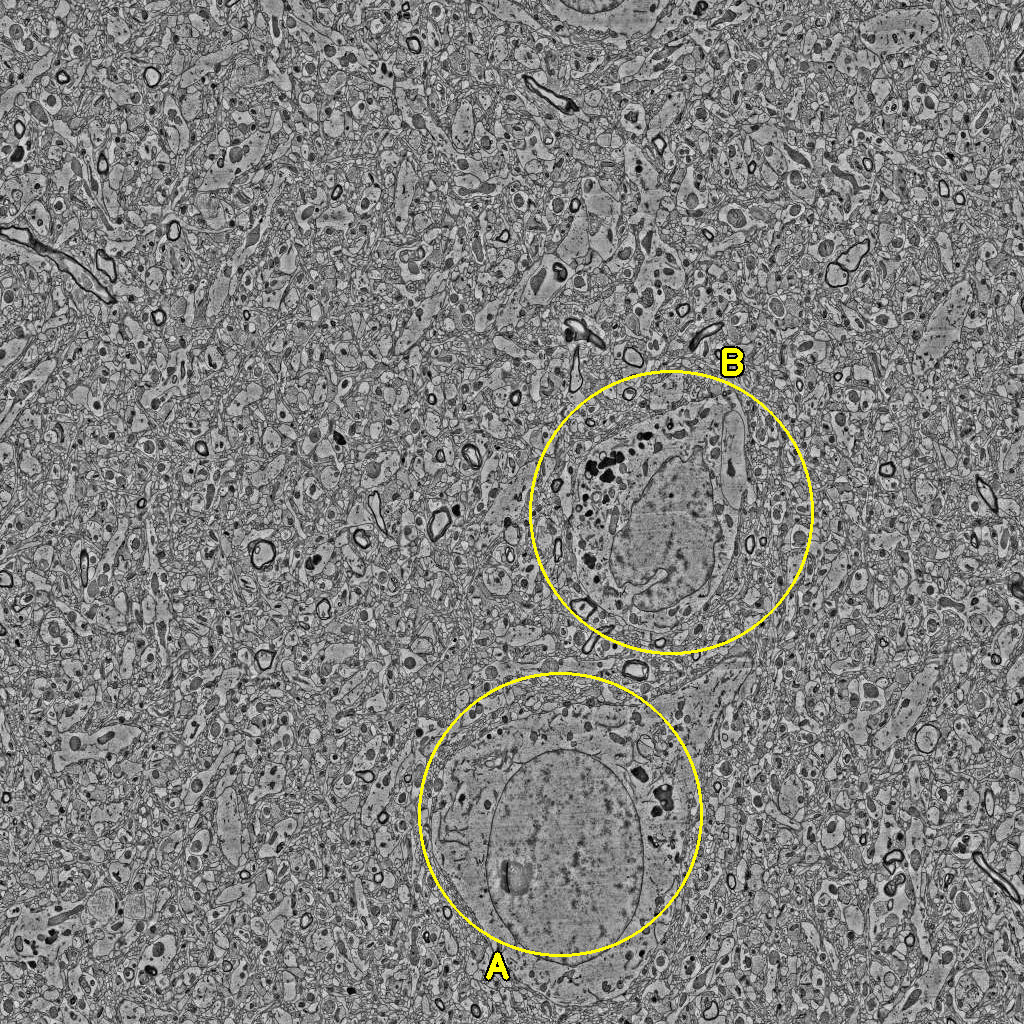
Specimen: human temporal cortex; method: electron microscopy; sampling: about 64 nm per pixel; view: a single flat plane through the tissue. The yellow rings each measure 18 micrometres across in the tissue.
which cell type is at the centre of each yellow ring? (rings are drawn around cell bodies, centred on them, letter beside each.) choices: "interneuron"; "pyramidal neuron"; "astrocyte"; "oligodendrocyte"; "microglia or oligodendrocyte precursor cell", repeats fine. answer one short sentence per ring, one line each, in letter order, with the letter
Ring A is a pyramidal neuron.
Ring B is an interneuron.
